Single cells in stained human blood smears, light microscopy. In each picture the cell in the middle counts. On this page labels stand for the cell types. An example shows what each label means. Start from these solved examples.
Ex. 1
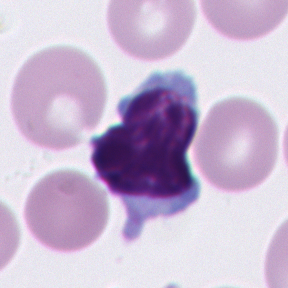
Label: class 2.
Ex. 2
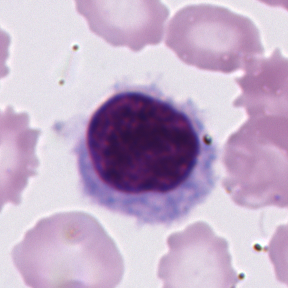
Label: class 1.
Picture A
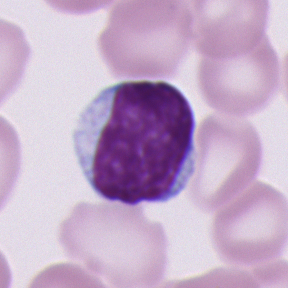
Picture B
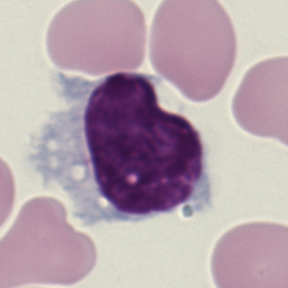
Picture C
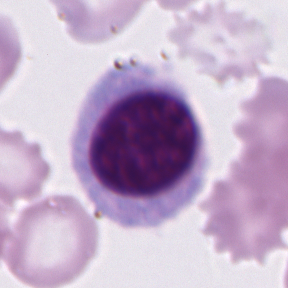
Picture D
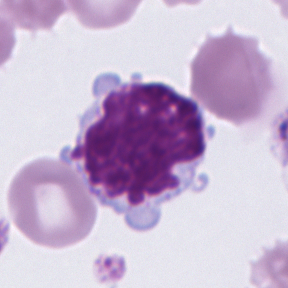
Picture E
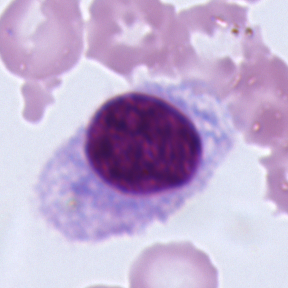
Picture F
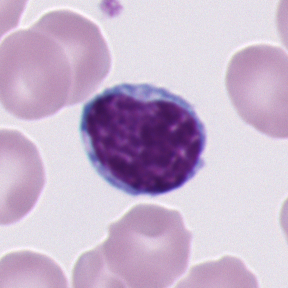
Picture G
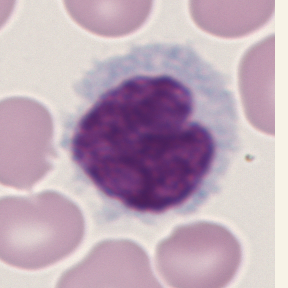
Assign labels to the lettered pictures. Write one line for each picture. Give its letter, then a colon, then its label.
A: class 2.
B: class 1.
C: class 1.
D: class 2.
E: class 1.
F: class 2.
G: class 1.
